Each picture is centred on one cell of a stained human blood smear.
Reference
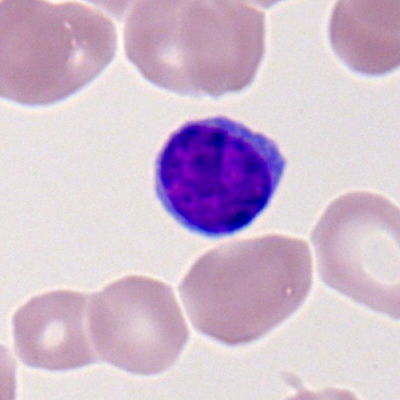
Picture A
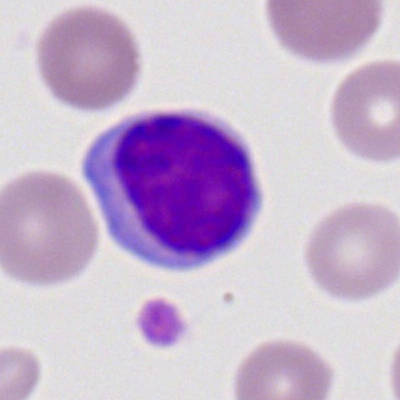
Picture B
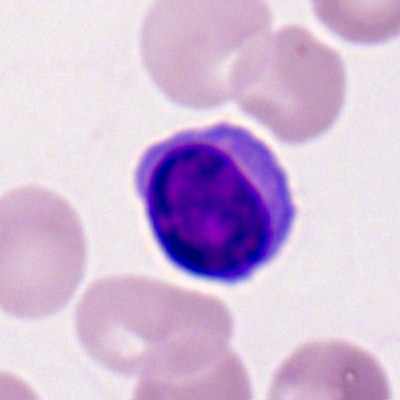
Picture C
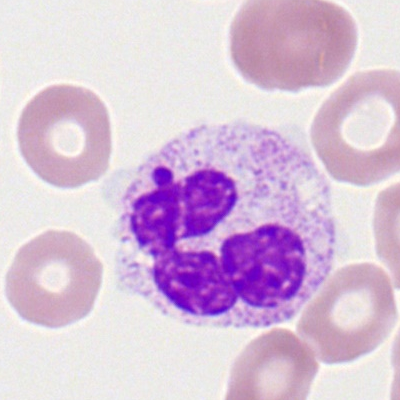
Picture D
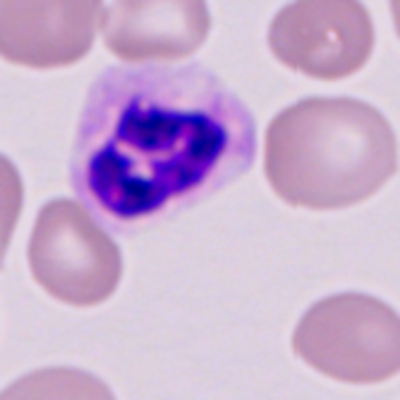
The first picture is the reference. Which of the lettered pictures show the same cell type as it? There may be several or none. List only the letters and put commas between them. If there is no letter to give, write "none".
A, B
